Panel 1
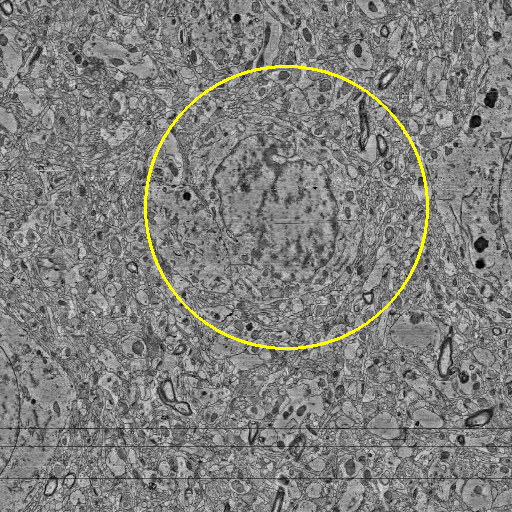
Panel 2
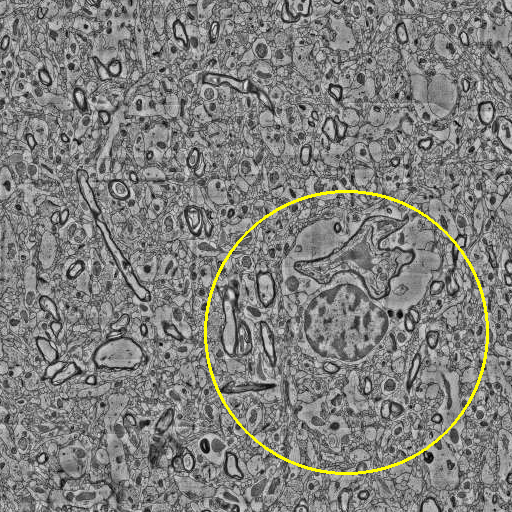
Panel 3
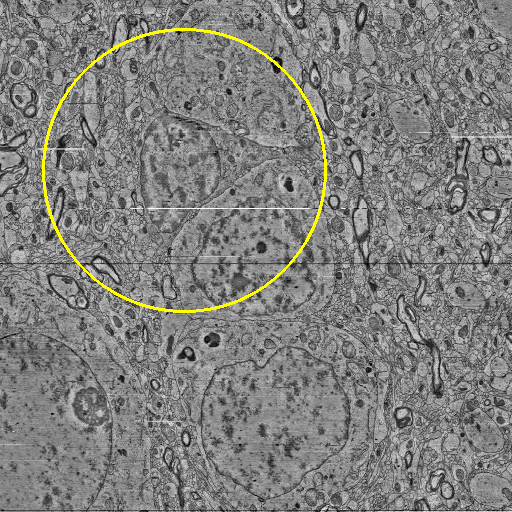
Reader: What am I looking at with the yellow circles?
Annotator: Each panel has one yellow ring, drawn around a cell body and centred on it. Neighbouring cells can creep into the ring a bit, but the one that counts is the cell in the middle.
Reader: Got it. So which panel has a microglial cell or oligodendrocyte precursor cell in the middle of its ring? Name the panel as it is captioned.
Panel 2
